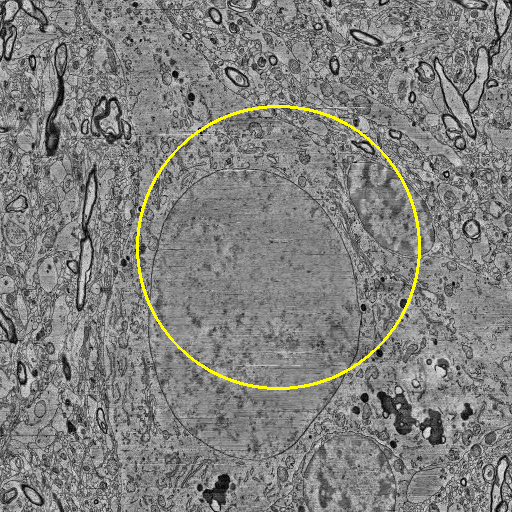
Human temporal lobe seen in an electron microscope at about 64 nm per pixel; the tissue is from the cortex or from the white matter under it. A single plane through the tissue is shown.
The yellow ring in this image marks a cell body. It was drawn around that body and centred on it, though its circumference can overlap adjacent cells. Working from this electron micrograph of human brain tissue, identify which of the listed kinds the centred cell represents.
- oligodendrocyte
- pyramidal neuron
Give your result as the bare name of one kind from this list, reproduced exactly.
pyramidal neuron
